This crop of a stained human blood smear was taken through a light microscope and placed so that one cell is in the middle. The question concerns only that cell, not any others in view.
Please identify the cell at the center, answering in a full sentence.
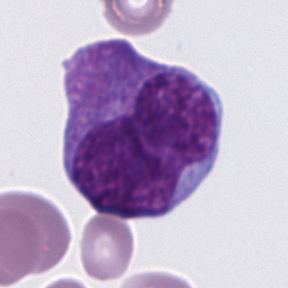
Among the cells in view, the one in the middle is an atypical promyelocyte.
